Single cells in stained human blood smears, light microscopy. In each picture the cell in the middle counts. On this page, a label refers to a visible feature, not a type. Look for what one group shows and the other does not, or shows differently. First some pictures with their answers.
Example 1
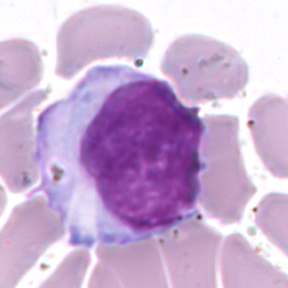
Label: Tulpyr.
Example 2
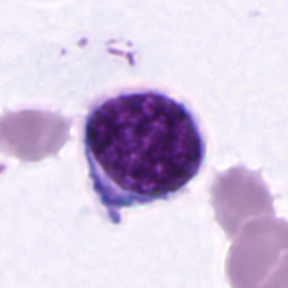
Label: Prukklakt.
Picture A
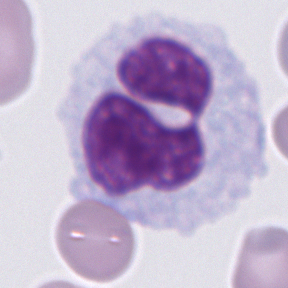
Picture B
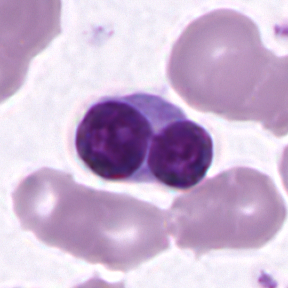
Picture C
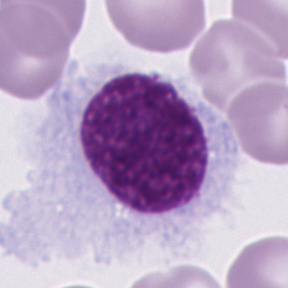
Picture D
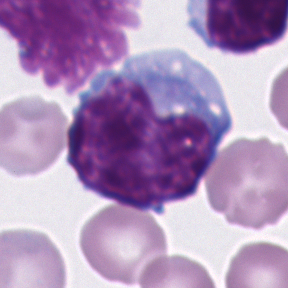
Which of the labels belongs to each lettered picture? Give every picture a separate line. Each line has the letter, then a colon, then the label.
A: Tulpyr.
B: Prukklakt.
C: Tulpyr.
D: Prukklakt.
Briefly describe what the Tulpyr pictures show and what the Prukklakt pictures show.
Seen in Tulpyr: abundant cytoplasm; seen in Prukklakt: scant cytoplasm.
